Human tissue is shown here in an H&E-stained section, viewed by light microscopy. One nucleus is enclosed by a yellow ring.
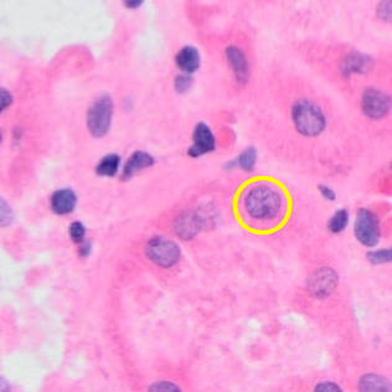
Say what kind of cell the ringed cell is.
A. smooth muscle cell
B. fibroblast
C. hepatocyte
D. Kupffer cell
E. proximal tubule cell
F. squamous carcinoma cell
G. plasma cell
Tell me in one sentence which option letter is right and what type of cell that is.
Option E correctly labels the ringed cell as a proximal tubule cell.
